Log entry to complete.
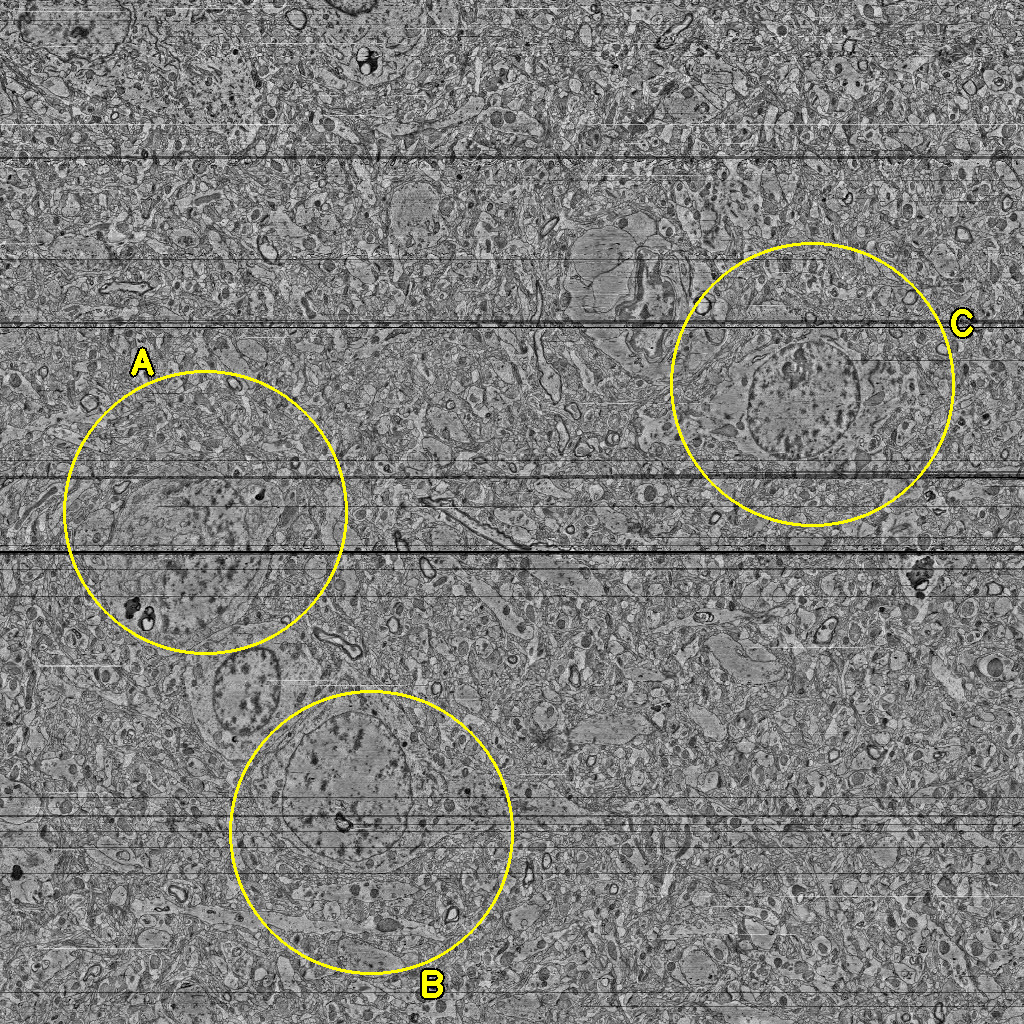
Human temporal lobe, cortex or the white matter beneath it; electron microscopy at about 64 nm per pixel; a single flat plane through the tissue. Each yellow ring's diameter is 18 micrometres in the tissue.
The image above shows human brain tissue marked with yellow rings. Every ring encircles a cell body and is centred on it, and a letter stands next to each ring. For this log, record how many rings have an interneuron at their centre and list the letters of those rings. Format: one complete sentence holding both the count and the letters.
Of the lettered yellow rings, just one is centred on an interneuron, and its letter is A.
